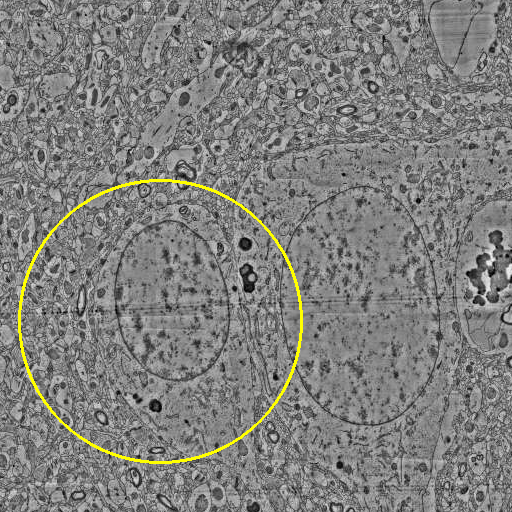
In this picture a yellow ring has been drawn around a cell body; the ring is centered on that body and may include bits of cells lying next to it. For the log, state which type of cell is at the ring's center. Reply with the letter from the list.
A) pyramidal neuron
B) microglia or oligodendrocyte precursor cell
A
